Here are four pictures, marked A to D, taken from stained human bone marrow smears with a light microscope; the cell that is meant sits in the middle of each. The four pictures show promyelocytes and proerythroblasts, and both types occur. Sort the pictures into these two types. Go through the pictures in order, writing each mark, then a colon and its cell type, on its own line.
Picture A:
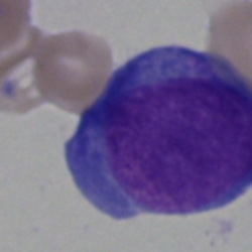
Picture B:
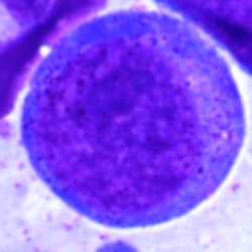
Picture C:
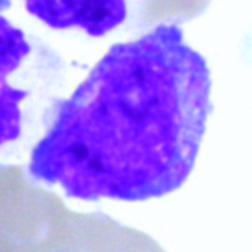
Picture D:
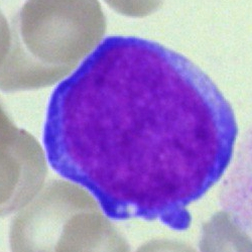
A: proerythroblast
B: promyelocyte
C: promyelocyte
D: proerythroblast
